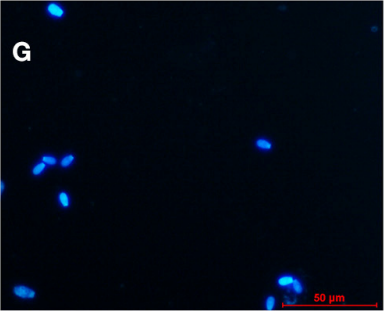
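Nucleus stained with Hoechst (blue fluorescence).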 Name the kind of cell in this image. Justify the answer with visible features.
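Spermatozoa. Small, uniformly shaped, elongated oval blue nuclei.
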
